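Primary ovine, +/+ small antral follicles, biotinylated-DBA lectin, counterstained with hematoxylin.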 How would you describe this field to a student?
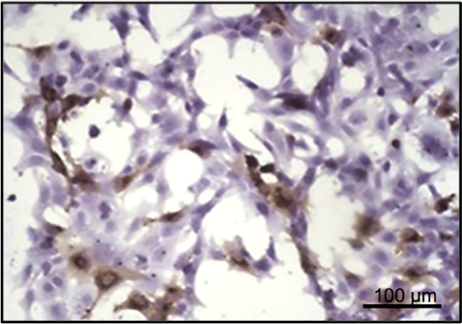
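Here cultured granulosa cells form a dense, lace-like sheet with open spaces between them, each cell having an oval purple nucleus and pale violet cytoplasm drawn into processes that join neighbouring cells. Scattered through the sheet, single cells and their processes are stained brown, standing out against the purple of the unstained majority.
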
